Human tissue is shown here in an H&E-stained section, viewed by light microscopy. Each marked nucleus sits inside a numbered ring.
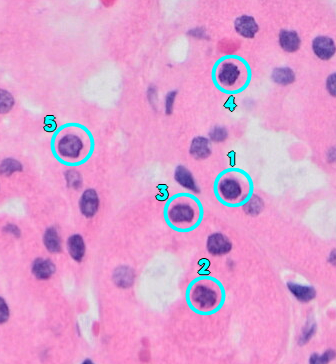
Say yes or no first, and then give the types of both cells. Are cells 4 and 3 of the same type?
No, the cell marked 4 is a loop of Henle or distal tubule cell, and the cell marked 3 is a proximal tubule cell.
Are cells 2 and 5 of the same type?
Yes, cells 2 and 5 both fall under proximal tubule cells.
